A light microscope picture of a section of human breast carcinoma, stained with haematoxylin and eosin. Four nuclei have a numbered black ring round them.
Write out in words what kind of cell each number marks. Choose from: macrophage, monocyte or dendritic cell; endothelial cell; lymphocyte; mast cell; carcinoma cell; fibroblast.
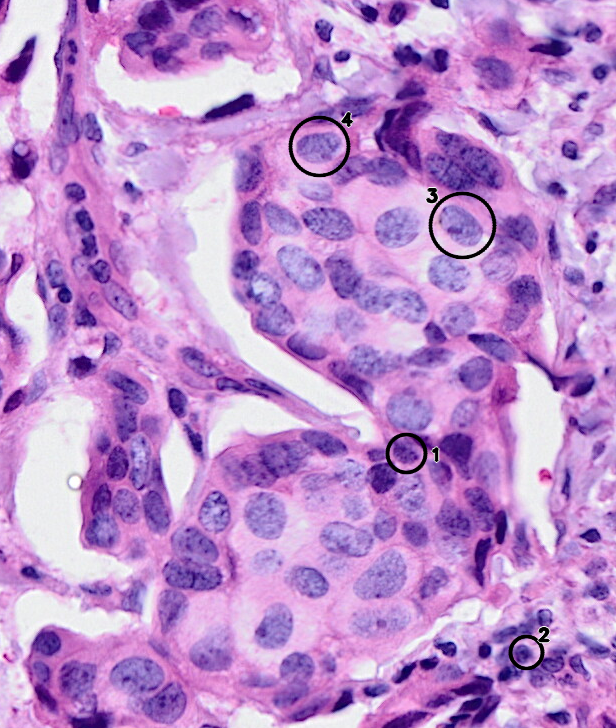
Cells 1, 3 and 4 are carcinoma cells. Cell 2 is a lymphocyte.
